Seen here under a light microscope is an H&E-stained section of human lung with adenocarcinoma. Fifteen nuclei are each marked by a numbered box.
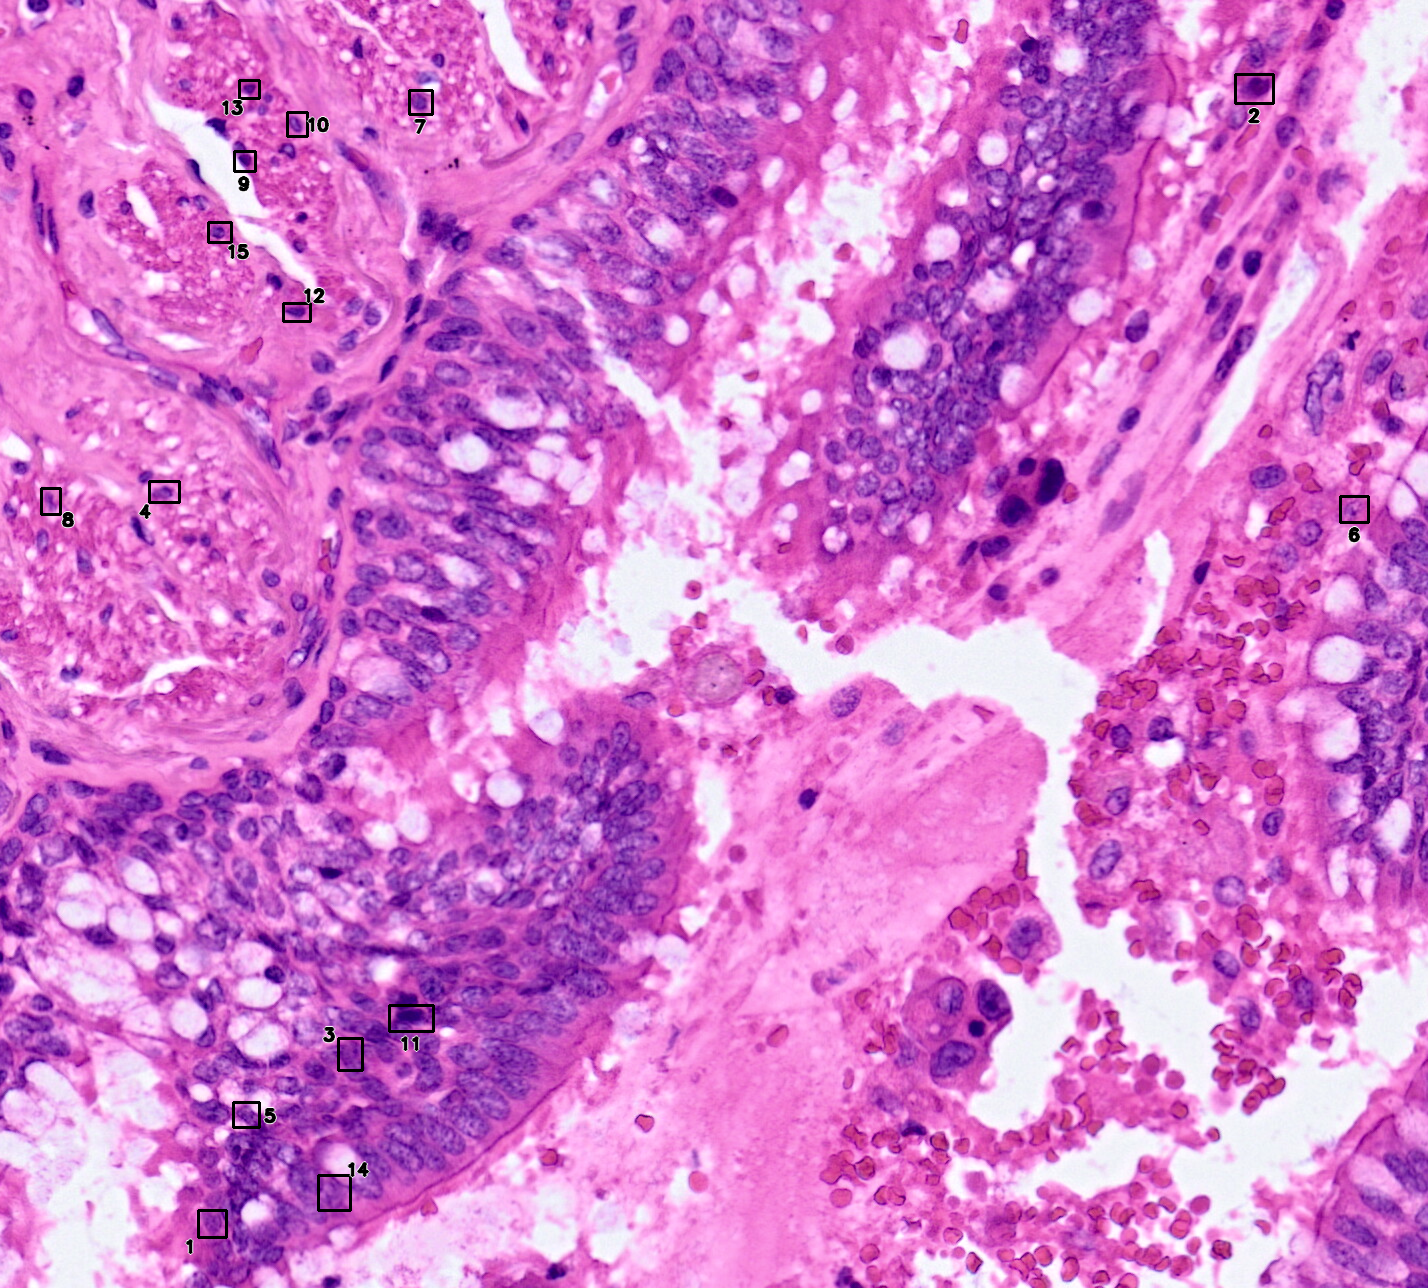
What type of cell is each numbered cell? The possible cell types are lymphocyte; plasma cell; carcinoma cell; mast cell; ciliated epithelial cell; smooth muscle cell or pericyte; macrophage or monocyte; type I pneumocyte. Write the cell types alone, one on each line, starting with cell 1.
ciliated epithelial cell
macrophage or monocyte
ciliated epithelial cell
smooth muscle cell or pericyte
ciliated epithelial cell
macrophage or monocyte
smooth muscle cell or pericyte
smooth muscle cell or pericyte
smooth muscle cell or pericyte
smooth muscle cell or pericyte
ciliated epithelial cell
smooth muscle cell or pericyte
smooth muscle cell or pericyte
ciliated epithelial cell
smooth muscle cell or pericyte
